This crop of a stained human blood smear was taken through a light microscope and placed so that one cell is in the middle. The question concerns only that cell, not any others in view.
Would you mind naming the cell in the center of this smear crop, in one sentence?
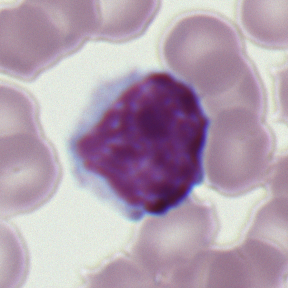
The cell marked by its central position in the crop is a lymphocyte.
